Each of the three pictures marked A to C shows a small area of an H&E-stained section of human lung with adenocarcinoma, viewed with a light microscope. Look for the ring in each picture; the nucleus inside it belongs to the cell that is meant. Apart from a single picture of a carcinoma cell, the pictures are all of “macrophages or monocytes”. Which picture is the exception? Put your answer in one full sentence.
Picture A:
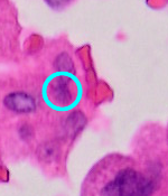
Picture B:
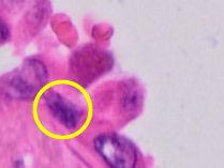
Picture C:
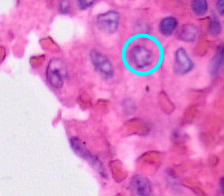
The carcinoma cell is the one in picture B.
